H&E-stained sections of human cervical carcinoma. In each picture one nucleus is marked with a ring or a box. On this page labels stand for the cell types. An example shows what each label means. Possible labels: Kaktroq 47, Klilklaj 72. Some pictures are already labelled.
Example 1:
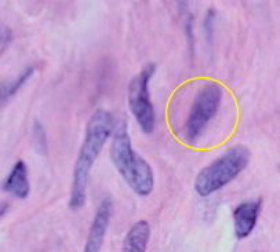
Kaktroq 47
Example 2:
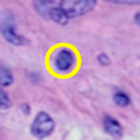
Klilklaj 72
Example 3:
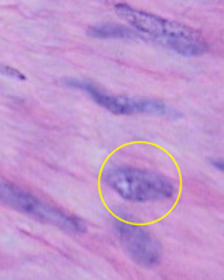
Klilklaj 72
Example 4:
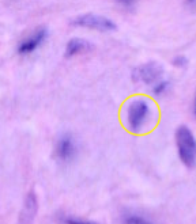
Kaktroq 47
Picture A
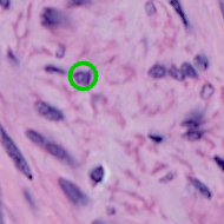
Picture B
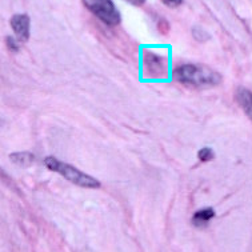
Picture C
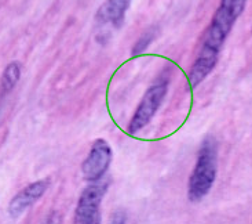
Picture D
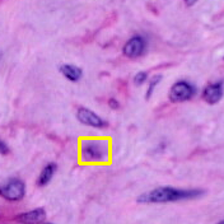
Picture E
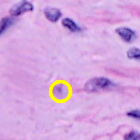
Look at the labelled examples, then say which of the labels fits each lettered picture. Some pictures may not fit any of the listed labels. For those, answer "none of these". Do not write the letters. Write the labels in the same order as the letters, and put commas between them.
Klilklaj 72, none of these, Klilklaj 72, Klilklaj 72, Klilklaj 72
